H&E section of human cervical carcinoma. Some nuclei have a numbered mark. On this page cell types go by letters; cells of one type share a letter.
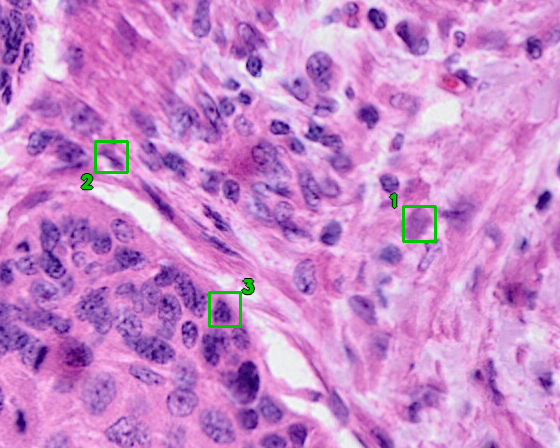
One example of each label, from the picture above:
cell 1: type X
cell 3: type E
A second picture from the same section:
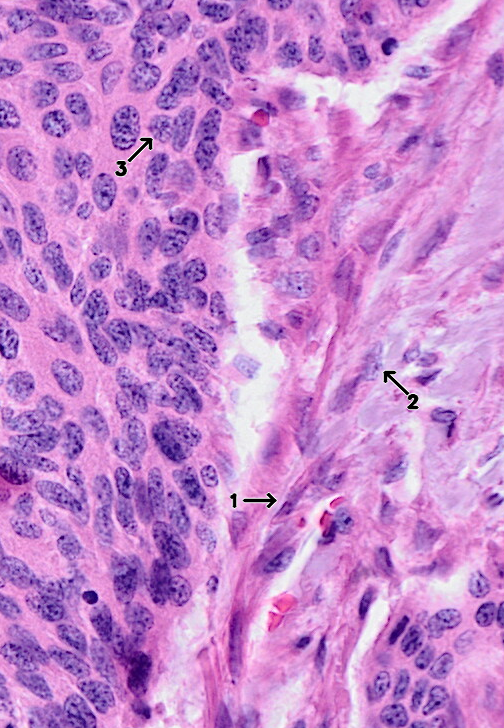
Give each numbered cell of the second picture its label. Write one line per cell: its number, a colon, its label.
1: type X
2: type X
3: type E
